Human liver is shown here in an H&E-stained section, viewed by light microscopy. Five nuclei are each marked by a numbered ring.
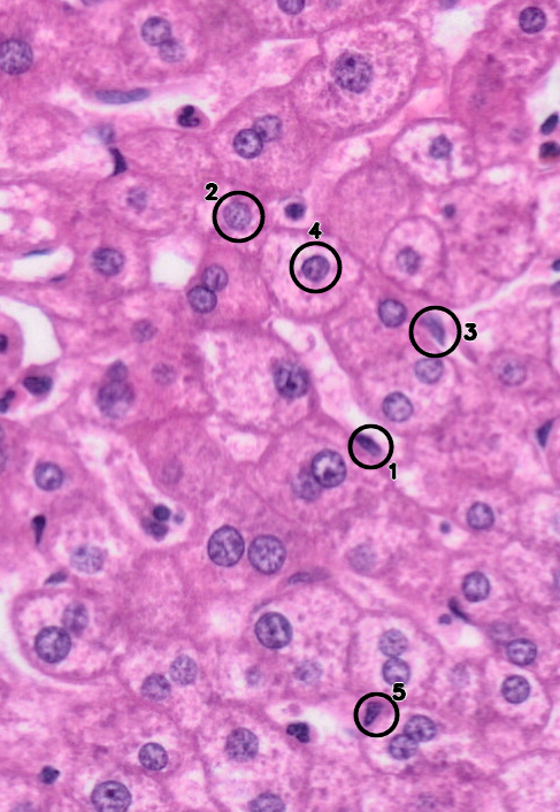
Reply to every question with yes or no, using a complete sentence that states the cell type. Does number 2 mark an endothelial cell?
No, number 2 belongs to a hepatocyte, not to an endothelial cell.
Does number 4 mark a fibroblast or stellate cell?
No, the cell referred to as 4 is a hepatocyte, not a fibroblast or stellate cell.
